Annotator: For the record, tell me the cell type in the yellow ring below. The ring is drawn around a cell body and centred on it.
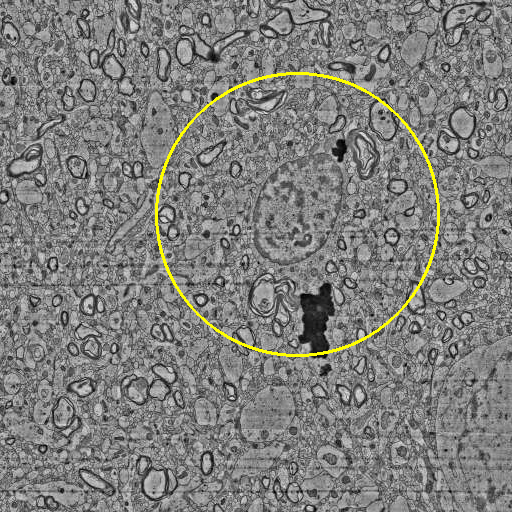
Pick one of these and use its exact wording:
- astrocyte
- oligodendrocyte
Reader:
oligodendrocyte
